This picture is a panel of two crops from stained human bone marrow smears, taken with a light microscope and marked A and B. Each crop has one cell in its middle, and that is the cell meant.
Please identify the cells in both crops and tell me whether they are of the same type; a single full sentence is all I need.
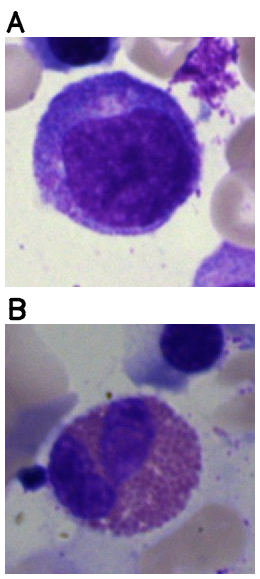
No, the middle of crop A shows a myelocyte, and the middle of crop B shows an eosinophil.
